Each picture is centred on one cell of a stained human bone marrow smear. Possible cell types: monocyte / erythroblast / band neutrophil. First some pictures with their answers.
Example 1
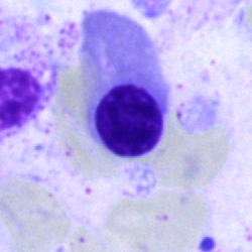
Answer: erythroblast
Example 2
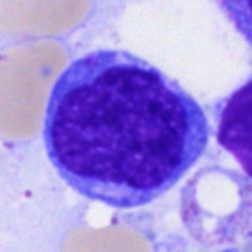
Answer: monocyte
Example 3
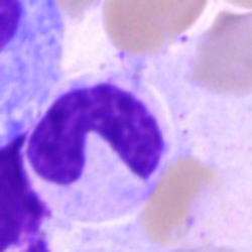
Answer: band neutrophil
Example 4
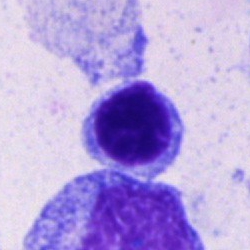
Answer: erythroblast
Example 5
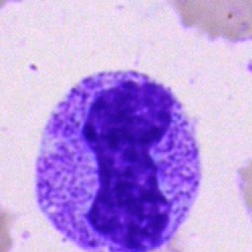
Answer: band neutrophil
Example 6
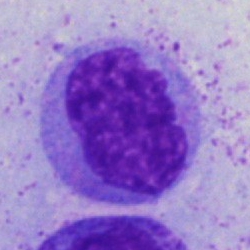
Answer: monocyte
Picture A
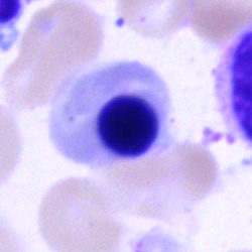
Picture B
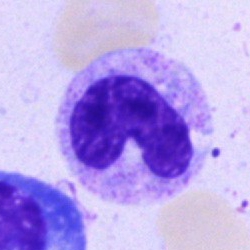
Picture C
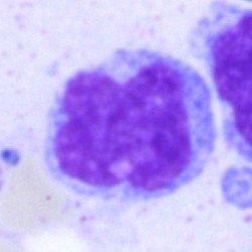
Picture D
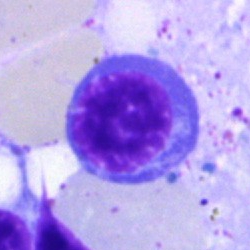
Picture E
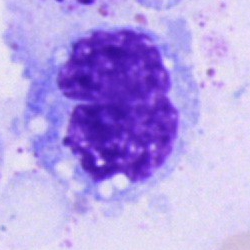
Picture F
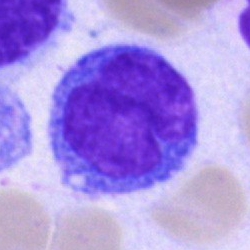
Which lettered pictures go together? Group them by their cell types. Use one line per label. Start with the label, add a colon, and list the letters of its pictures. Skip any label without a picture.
monocyte: C, E, F
erythroblast: A, D
band neutrophil: B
